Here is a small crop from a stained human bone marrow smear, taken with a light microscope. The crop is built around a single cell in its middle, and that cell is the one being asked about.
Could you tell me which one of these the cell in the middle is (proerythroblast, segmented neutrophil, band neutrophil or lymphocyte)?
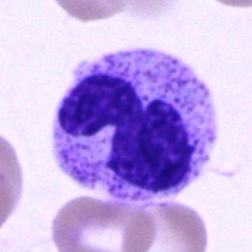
segmented neutrophil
